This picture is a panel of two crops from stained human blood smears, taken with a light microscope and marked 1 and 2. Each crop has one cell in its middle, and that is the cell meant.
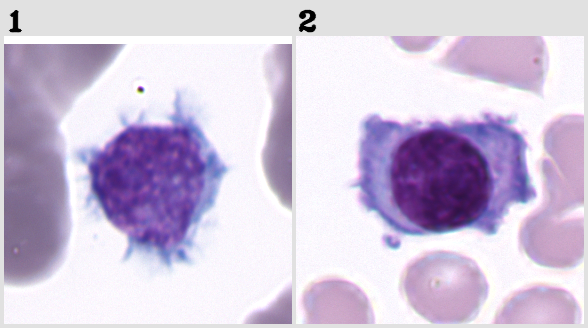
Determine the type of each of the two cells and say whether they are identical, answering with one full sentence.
No, in crop 1 there is a hairy cell, and in crop 2 there is a plasma cell.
